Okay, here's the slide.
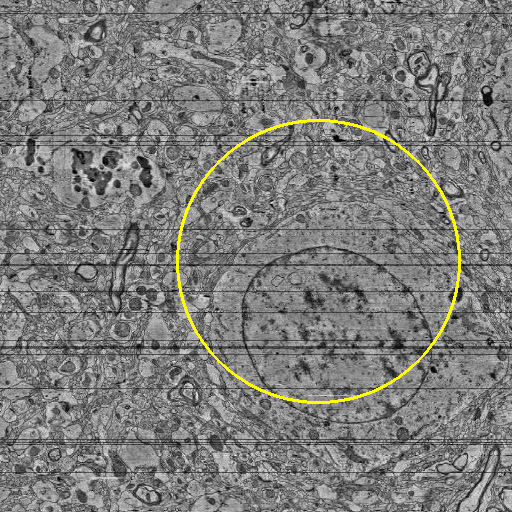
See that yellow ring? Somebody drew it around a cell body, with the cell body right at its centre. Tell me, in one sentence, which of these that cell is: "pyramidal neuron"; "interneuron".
The cell in the middle of the ring is a pyramidal neuron.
